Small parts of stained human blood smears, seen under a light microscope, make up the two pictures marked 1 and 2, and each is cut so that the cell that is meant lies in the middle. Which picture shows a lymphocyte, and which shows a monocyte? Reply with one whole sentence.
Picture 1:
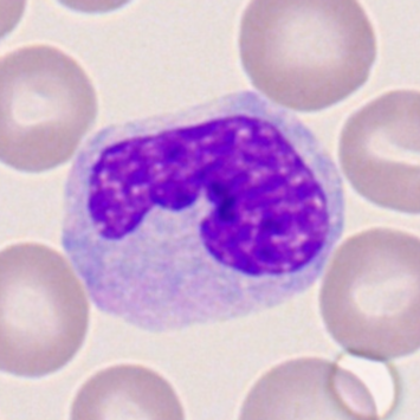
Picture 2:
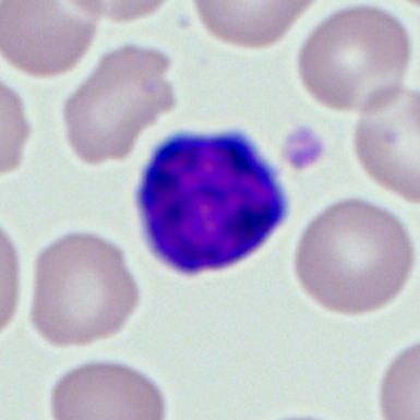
Picture 2 shows a lymphocyte, while picture 1 shows a monocyte.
